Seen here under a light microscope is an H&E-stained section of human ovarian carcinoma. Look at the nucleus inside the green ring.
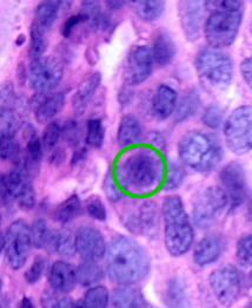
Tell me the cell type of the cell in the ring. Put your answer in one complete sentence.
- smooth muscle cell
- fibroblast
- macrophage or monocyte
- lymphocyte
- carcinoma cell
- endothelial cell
The cell meant here is a carcinoma cell.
